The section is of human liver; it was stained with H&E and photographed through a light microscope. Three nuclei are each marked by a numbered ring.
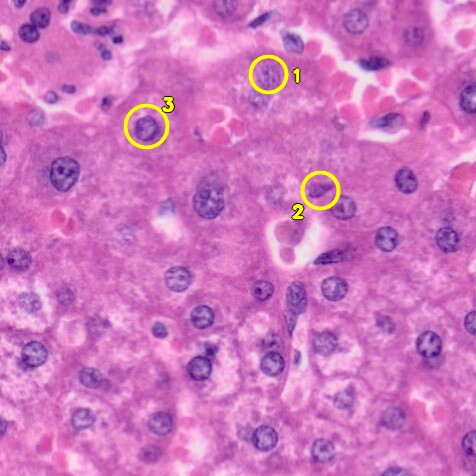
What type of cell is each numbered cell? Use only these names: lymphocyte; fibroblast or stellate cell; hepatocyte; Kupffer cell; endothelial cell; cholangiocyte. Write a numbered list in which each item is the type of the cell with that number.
1. hepatocyte
2. fibroblast or stellate cell
3. hepatocyte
